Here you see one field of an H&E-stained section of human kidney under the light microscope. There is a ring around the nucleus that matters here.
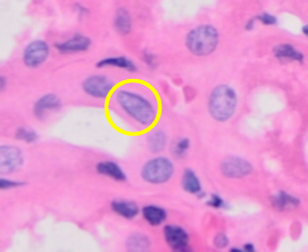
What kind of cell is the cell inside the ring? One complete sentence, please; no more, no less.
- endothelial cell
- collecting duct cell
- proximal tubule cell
As to its cell type, the cell inside the ring is a collecting duct cell.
